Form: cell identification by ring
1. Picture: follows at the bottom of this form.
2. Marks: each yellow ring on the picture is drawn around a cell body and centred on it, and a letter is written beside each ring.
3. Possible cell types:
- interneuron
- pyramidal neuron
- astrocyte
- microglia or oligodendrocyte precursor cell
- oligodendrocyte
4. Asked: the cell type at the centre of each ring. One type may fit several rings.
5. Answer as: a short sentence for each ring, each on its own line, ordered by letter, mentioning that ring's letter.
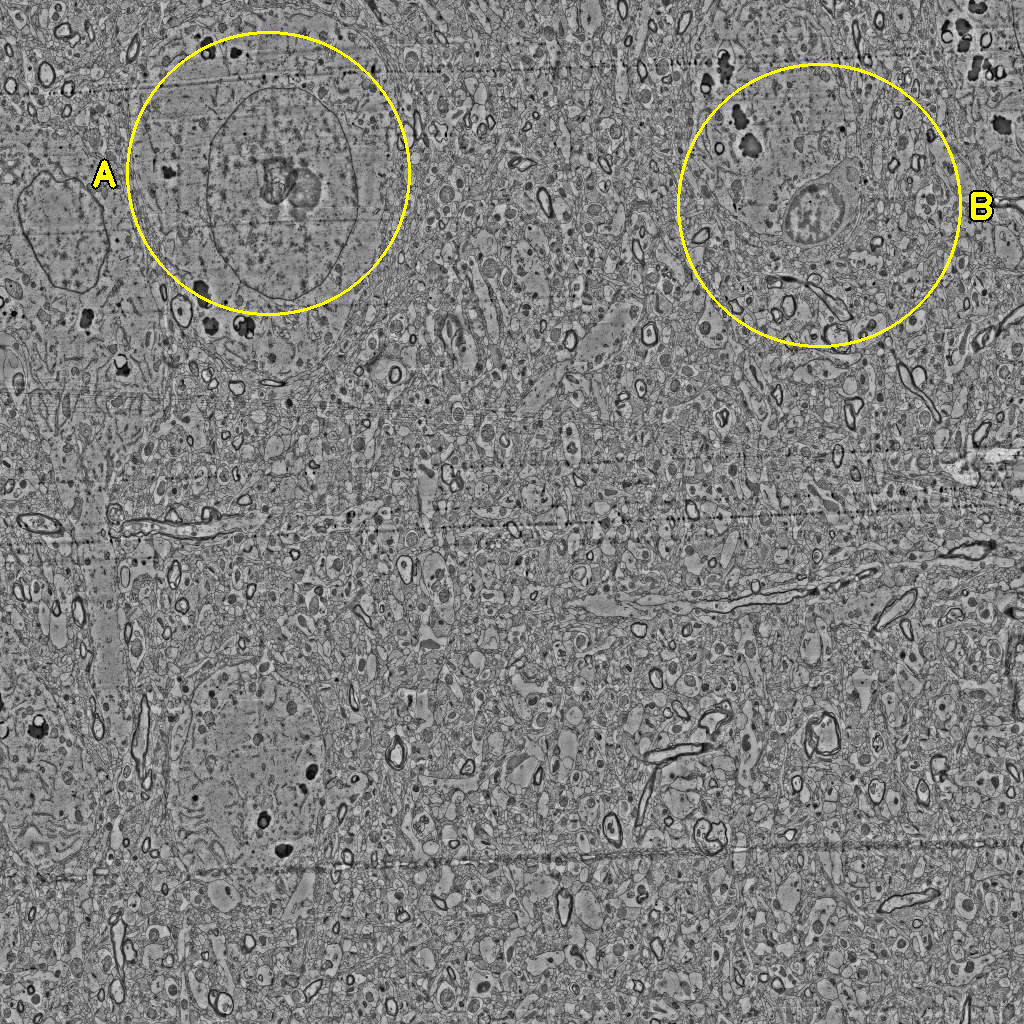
The cell at ring A's centre is a pyramidal neuron.
The cell at ring B's centre is an oligodendrocyte.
